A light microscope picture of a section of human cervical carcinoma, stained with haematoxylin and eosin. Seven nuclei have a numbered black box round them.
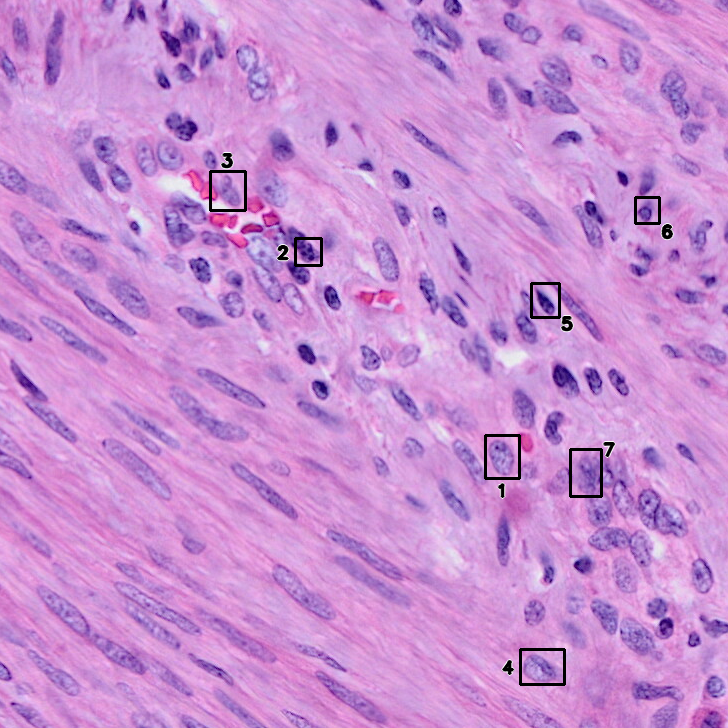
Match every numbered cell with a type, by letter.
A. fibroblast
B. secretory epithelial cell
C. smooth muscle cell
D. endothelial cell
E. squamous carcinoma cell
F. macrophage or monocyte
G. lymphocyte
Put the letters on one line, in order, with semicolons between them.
D; G; D; C; G; C; D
